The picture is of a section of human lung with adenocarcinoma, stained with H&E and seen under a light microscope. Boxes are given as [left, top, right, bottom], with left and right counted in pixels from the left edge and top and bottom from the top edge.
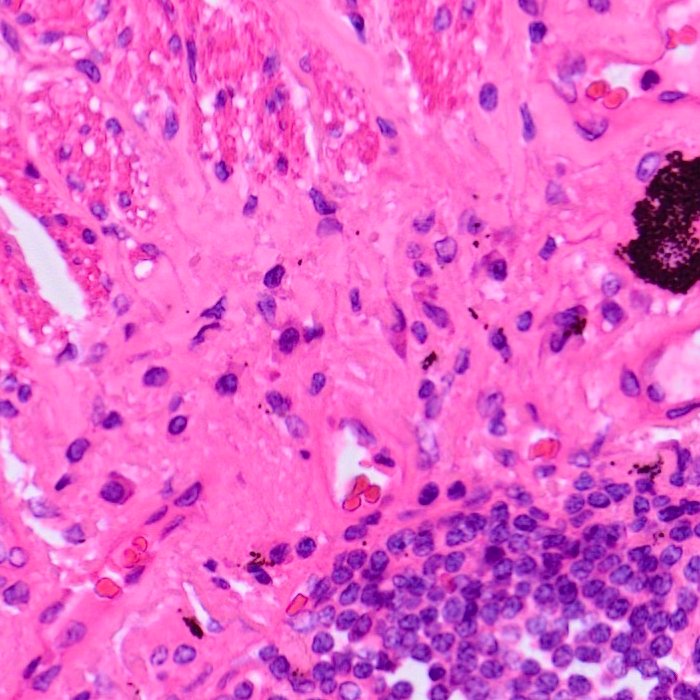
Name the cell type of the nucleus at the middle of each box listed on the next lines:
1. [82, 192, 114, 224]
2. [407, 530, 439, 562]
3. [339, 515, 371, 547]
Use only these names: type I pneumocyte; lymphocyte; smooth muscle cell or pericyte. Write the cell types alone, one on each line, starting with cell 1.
smooth muscle cell or pericyte
lymphocyte
lymphocyte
